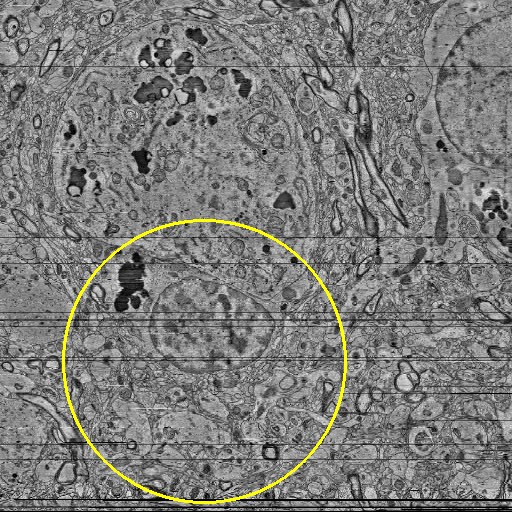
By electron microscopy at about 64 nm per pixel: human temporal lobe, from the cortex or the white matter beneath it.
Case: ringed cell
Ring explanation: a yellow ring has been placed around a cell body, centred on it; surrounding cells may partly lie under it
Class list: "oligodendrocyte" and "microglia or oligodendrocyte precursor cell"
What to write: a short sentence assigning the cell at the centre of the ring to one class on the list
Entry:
The cell at the ring's centre is an oligodendrocyte.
